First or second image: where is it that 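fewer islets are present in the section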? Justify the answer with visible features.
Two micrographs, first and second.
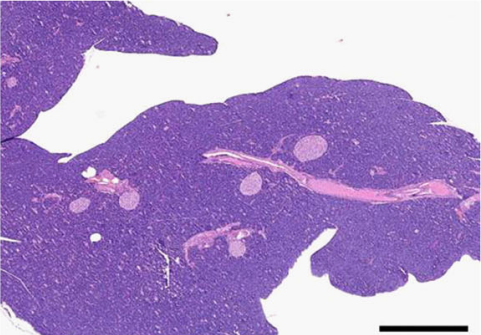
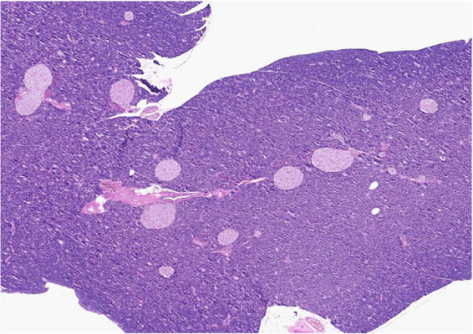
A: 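First image: only a handful of pale pink round patches are visible in the purple tissue. Second image: many more pale pink round patches are scattered across the section.
Hence: the first image.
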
